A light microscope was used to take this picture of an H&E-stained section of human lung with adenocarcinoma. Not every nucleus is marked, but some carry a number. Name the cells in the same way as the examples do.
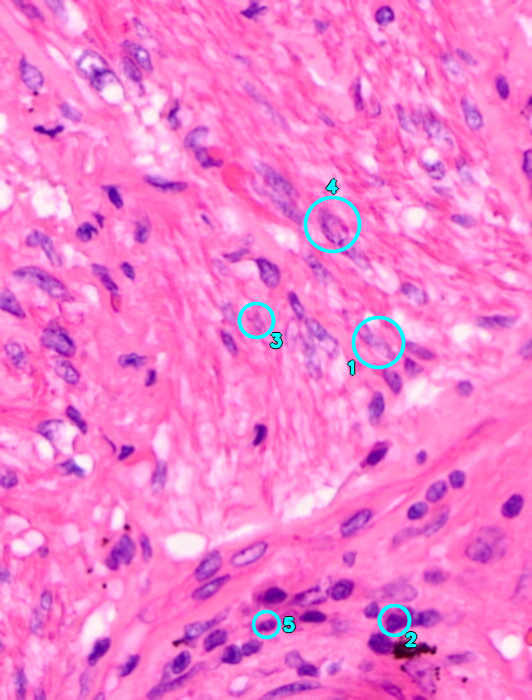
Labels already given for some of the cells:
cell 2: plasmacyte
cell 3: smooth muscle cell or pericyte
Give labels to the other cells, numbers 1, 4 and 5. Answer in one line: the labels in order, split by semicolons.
smooth muscle cell or pericyte; smooth muscle cell or pericyte; plasmacyte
